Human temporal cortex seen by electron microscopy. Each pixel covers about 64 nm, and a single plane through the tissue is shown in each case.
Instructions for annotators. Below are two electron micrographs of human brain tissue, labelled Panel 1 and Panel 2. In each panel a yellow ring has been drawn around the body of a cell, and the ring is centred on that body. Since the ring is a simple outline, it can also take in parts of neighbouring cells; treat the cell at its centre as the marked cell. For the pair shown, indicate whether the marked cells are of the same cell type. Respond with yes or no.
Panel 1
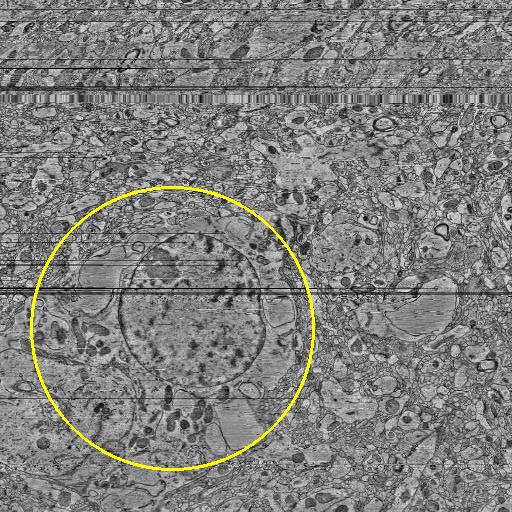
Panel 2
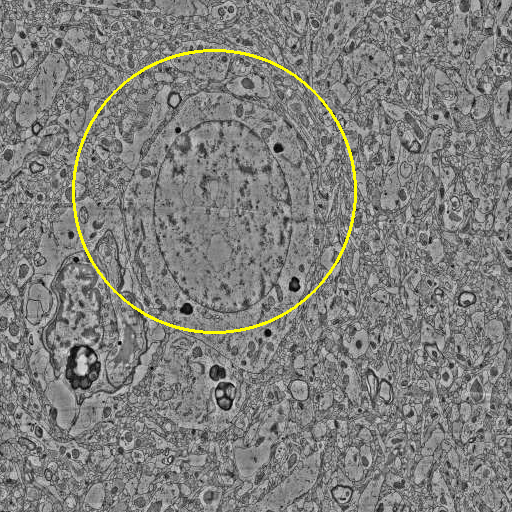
no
